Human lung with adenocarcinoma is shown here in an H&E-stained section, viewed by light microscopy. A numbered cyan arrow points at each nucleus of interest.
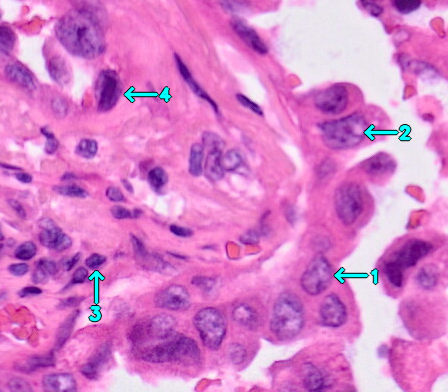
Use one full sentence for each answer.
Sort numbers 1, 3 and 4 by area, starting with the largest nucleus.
The nuclei rank 1, 4, 3, from largest to smallest.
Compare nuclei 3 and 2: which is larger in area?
Of the two, number 2 is bigger and takes up about 4 times the area of number 3.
